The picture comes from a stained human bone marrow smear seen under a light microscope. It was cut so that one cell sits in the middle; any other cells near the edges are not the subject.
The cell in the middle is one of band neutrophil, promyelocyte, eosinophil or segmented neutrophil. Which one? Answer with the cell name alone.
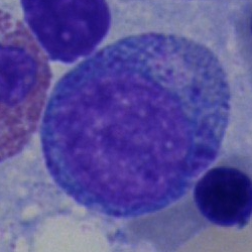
promyelocyte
